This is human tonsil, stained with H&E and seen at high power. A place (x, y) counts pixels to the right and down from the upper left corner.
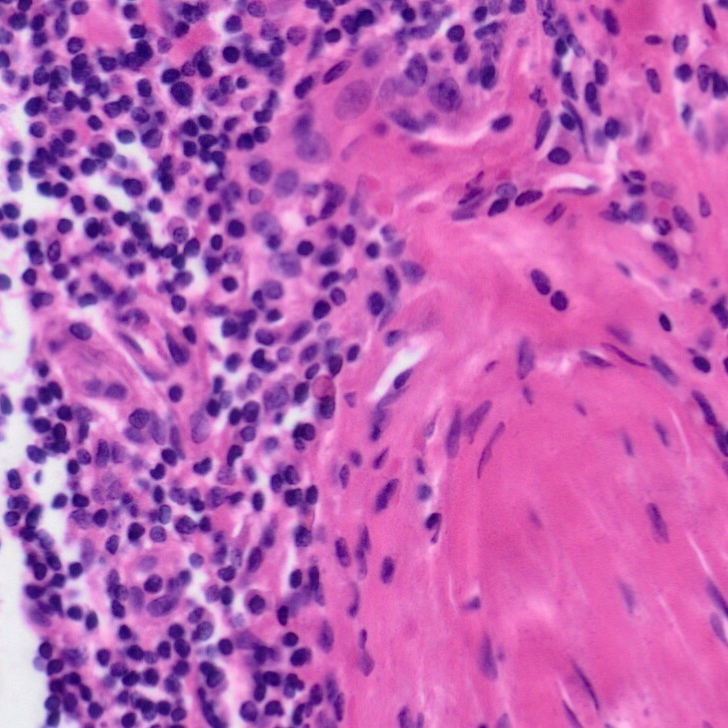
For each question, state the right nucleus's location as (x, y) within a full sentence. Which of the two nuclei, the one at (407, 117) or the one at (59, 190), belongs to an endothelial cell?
Of these two nuclei, only the one at (407, 117) belongs to an endothelial cell.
